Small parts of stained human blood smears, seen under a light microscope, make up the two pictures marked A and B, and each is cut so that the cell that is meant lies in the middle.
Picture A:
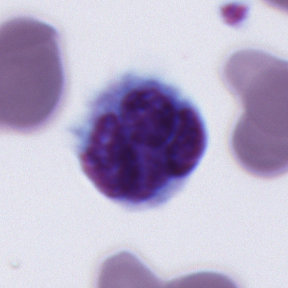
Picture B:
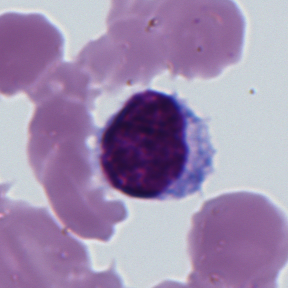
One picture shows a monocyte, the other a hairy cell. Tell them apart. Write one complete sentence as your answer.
The cell in picture A is a monocyte, and the one in picture B is a hairy cell.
